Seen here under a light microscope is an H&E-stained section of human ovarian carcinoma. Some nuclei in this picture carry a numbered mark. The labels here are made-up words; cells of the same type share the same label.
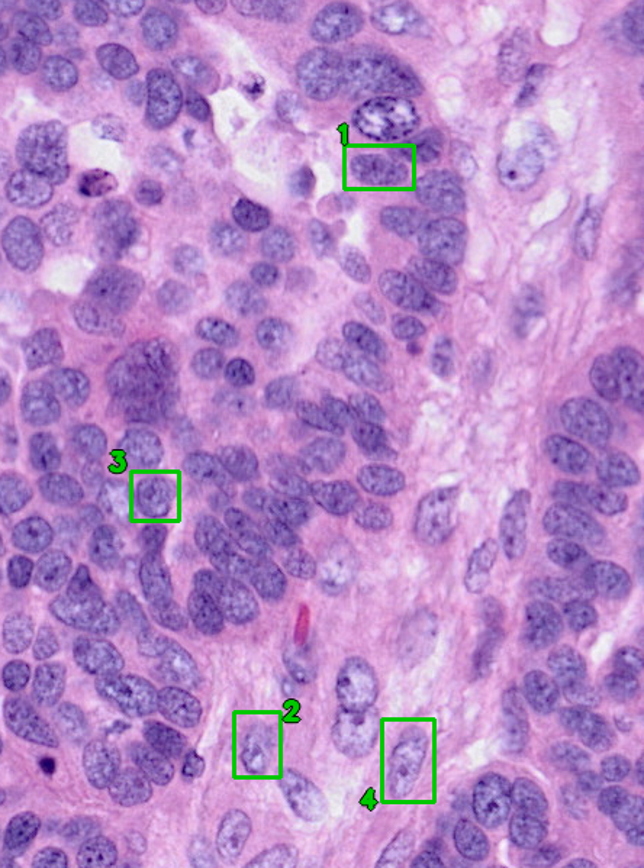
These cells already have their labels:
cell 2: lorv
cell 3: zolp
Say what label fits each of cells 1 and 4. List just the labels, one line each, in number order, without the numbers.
zolp
lorv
